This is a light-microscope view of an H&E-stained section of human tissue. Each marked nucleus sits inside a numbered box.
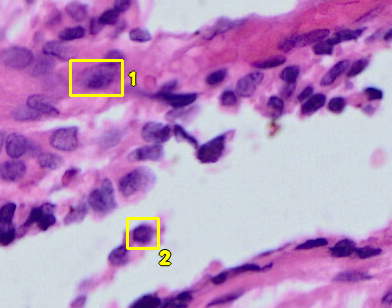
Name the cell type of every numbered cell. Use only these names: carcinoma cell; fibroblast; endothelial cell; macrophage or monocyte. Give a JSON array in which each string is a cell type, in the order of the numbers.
["endothelial cell", "carcinoma cell"]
